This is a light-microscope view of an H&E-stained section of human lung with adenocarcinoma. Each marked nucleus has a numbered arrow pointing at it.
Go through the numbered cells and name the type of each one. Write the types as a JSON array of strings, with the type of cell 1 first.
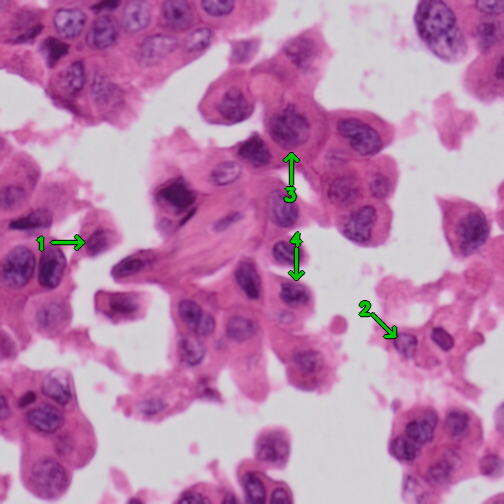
["carcinoma cell", "macrophage or monocyte", "carcinoma cell", "carcinoma cell"]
